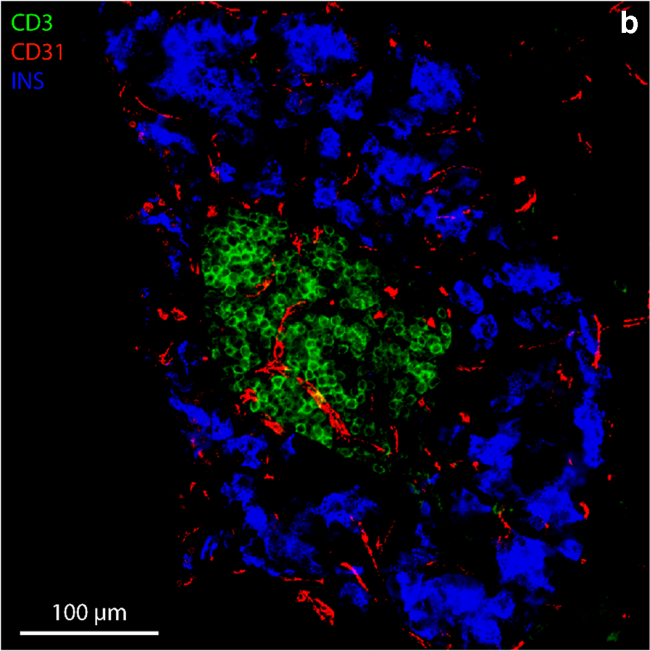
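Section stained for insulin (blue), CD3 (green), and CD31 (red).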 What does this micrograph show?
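This is a pancreatic islet invaded by lymphocytes. In the middle lies a dense, roughly round mass of small cells, each outlined by a green ring at its surface, packed tightly side by side. Around this mass the islet's own hormone cells appear as irregular blue patches and clumps, broken up and scattered rather than forming a compact whole. Thin red branching threads run between the blue patches and also cross through the green cluster, following narrow channels through the tissue. The lymphocyte mass thus sits inside the islet, displacing its endocrine cells.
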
